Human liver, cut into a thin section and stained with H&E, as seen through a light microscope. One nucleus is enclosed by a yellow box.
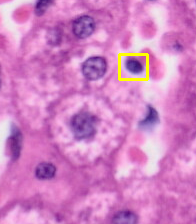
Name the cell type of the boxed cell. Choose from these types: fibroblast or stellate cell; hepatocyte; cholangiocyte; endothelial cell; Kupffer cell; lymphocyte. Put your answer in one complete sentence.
The boxed cell appears to be a lymphocyte.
